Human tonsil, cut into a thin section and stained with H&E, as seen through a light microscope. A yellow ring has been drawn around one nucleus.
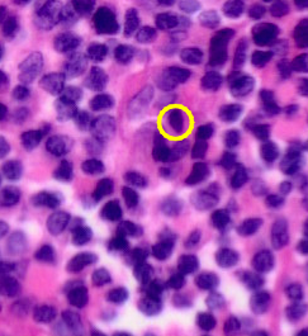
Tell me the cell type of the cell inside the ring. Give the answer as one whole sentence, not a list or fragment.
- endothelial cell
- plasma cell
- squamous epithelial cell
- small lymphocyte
In this preparation, the cell inside the ring is an endothelial cell.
